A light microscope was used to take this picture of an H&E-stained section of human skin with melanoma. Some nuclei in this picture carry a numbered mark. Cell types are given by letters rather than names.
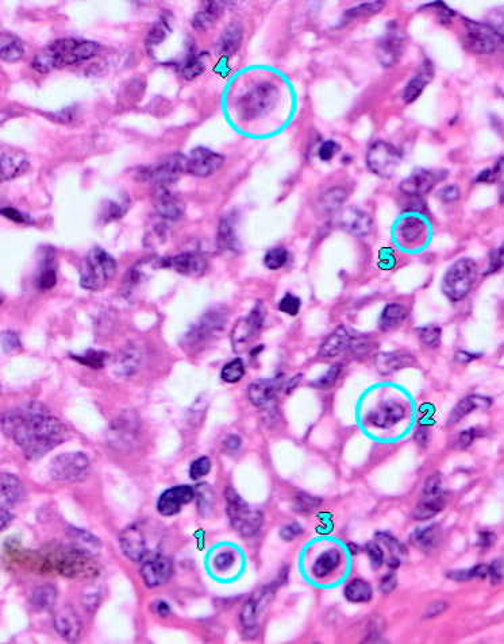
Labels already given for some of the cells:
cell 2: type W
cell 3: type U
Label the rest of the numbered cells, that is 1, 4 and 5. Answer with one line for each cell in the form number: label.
1: type U
4: type W
5: type W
